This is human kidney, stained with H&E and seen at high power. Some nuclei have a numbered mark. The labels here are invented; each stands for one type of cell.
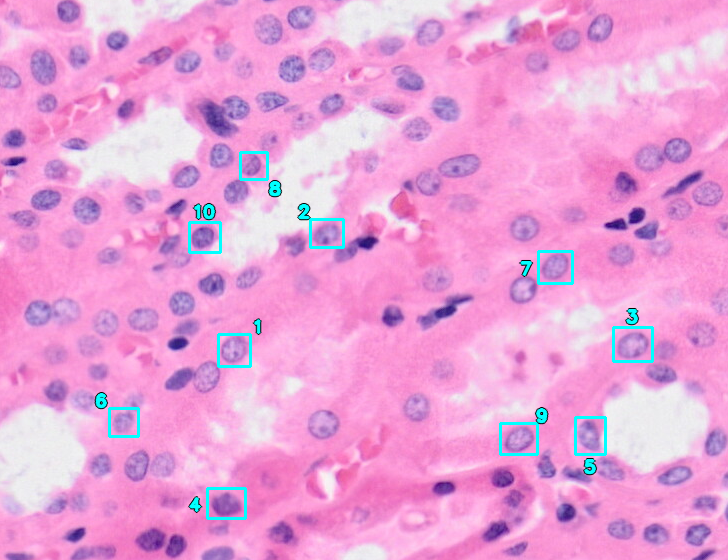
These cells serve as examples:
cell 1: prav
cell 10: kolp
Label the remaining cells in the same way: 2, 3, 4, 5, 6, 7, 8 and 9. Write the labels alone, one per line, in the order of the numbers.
kolp
prav
prav
kolp
kolp
prav
kolp
prav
